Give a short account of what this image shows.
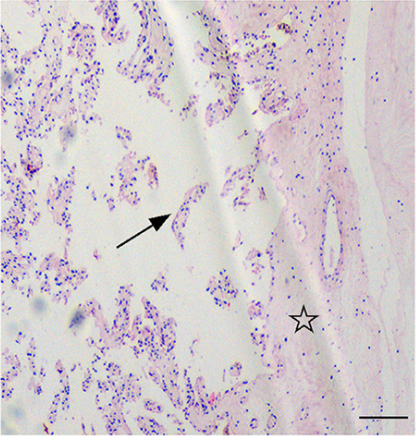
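Placental villi appear as small, irregular pink profiles with blue nuclei, scattered more sparsely in a largely pale, empty-looking field. Many of the villous profiles are thin or fragmented. Along the right side runs a broad band of pale pink, sparsely cellular matrix containing scattered nuclei and a small vessel-like profile.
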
